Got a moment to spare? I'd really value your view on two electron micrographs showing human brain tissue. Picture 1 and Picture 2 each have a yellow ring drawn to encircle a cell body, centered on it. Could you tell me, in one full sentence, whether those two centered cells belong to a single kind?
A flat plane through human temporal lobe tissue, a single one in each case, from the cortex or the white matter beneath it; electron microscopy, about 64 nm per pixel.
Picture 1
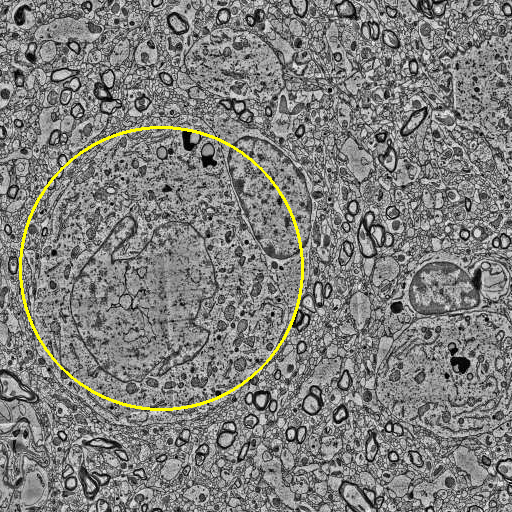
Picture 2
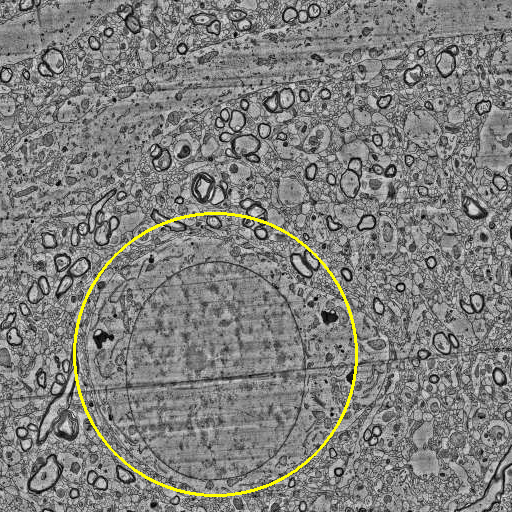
Yes, the two centered cells in Picture 1 and Picture 2 are of a single kind.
